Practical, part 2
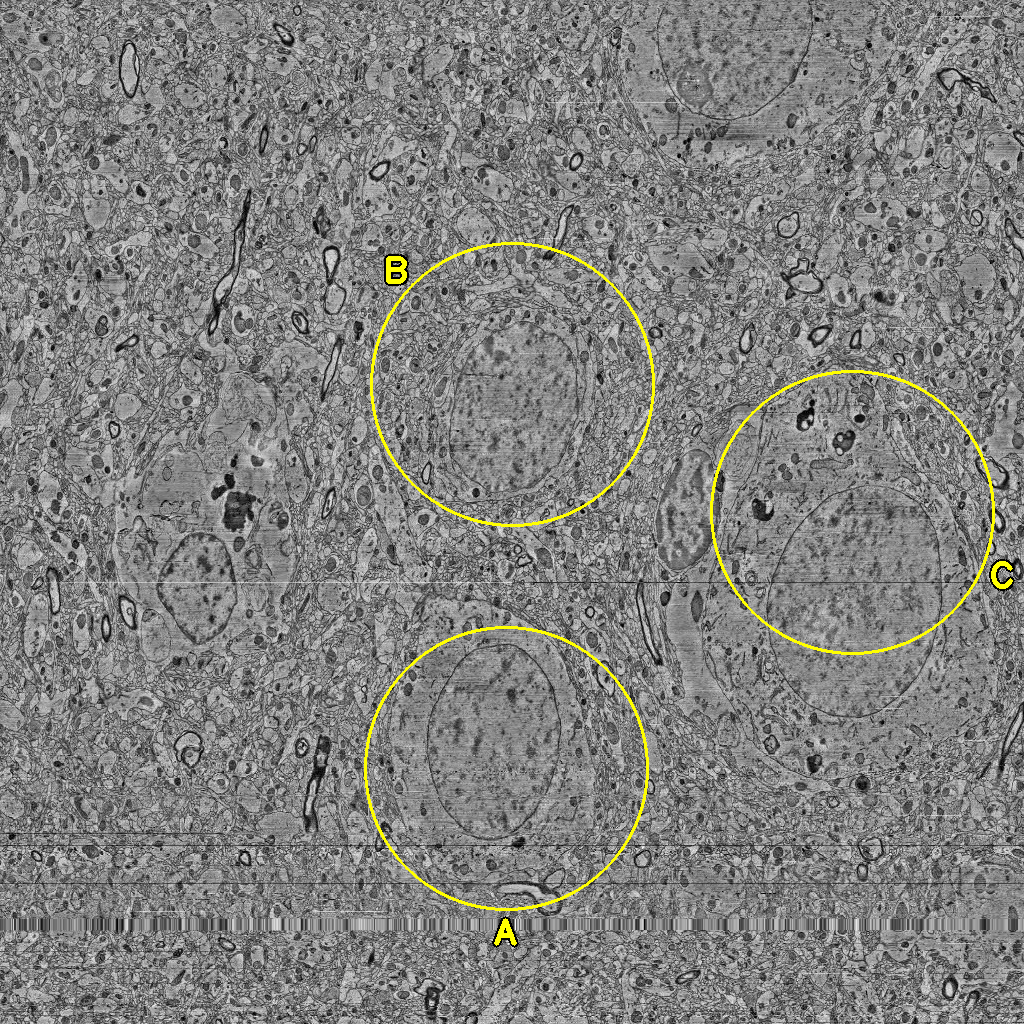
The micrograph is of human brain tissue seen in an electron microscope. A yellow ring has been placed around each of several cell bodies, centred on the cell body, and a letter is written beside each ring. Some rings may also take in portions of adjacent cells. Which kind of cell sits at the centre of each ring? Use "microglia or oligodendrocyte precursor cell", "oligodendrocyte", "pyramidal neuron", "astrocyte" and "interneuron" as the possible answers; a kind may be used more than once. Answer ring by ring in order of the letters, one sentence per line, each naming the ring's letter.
Ring A sits on a pyramidal neuron.
Ring B sits on an interneuron.
Ring C sits on a pyramidal neuron.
